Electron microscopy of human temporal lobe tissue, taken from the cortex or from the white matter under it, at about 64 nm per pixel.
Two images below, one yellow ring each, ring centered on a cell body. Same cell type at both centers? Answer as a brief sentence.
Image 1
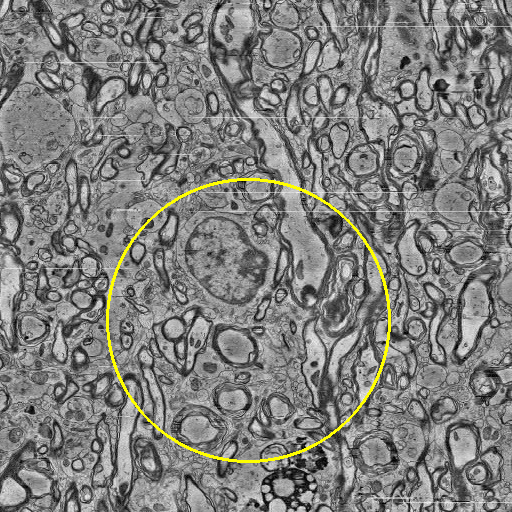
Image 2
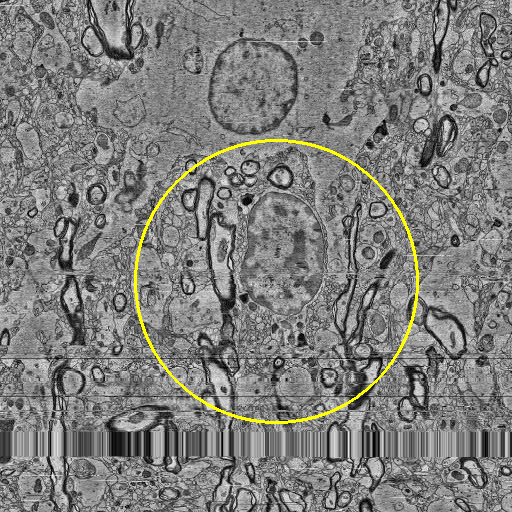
Yes, both cells are of the same type.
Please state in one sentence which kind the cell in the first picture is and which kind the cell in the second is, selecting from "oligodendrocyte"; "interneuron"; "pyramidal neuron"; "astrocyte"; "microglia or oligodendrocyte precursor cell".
Both the first and the second picture show a microglial cell or oligodendrocyte precursor cell in the ring.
